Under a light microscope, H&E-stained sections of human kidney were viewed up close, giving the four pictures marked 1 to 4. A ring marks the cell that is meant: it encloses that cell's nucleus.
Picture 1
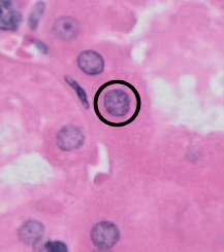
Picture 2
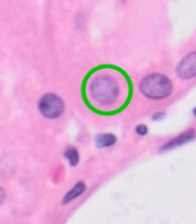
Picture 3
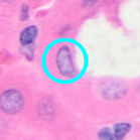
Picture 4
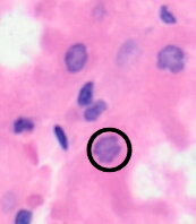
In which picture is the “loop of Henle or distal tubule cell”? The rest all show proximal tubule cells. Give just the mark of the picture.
3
